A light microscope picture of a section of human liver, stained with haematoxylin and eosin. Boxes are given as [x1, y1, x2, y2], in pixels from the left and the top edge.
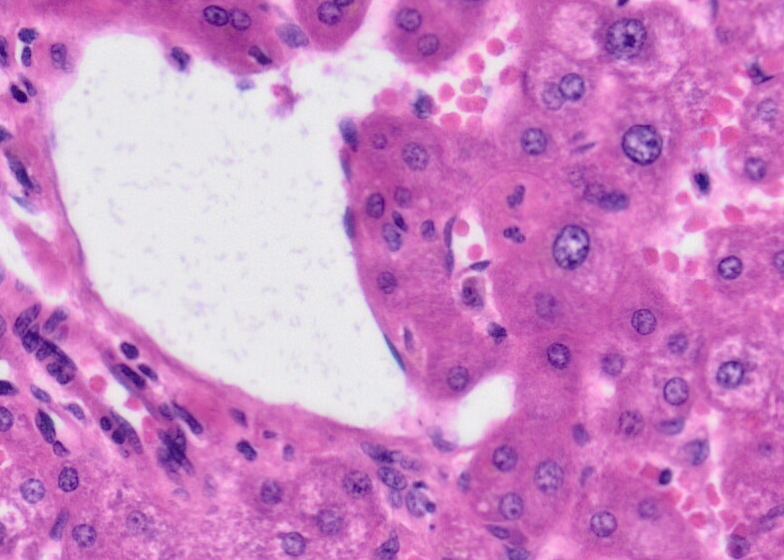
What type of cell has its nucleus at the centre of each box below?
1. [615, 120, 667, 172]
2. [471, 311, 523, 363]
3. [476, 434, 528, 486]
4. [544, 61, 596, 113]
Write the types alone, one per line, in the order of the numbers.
hepatocyte
fibroblast or stellate cell
hepatocyte
hepatocyte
